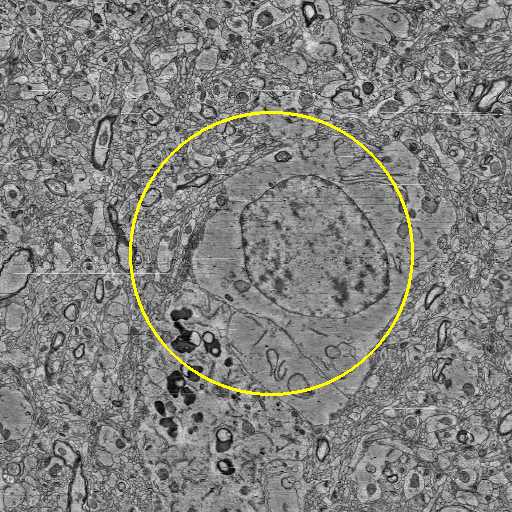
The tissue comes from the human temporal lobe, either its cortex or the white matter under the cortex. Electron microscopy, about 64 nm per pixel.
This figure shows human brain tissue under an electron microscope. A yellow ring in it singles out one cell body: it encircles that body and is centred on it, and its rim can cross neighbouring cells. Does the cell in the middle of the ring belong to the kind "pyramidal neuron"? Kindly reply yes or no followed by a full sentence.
No, the cell centred in the figure's ring belongs to a different kind from the one asked.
